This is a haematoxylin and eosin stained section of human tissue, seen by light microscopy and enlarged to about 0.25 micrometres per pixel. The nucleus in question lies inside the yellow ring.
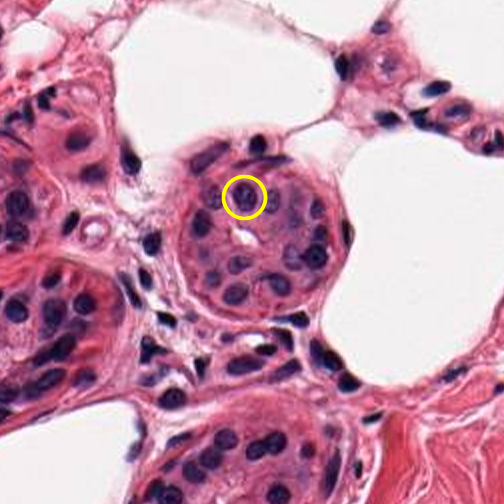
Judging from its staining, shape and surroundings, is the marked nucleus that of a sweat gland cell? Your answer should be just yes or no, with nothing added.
yes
